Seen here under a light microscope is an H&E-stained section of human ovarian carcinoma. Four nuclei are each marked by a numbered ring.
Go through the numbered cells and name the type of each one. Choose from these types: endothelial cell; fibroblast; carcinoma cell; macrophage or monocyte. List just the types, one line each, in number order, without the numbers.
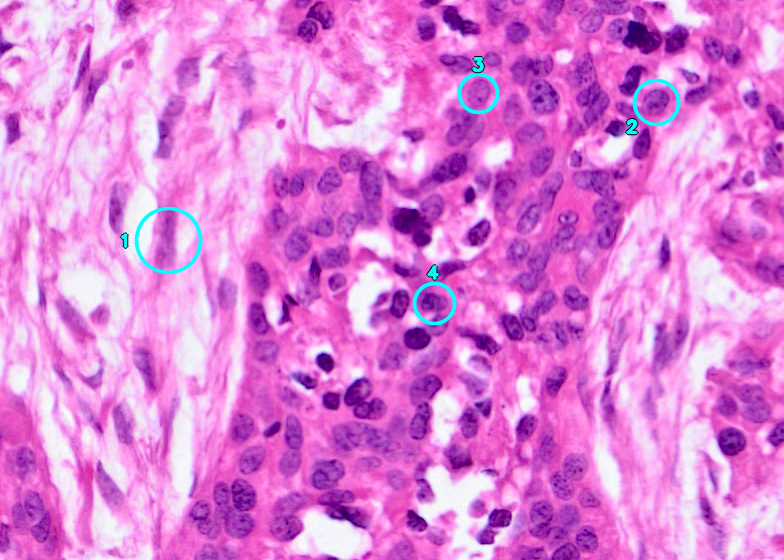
fibroblast
carcinoma cell
carcinoma cell
carcinoma cell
